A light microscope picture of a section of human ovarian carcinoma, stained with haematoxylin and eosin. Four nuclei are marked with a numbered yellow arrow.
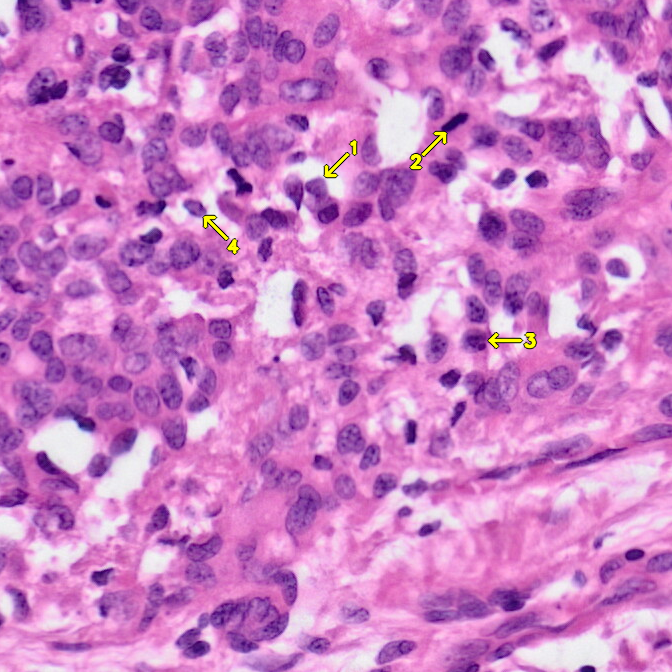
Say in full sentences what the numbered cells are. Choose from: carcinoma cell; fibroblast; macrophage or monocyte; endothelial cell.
Cell 1 is a carcinoma cell, cell 2 is a carcinoma cell, cell 3 is a macrophage or monocyte and cell 4 is a carcinoma cell.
